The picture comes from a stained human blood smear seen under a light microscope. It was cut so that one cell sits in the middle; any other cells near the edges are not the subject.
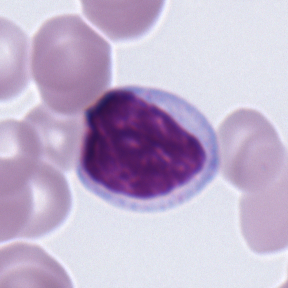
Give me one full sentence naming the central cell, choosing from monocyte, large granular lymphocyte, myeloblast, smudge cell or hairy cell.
Here the cell in the middle is a large granular lymphocyte.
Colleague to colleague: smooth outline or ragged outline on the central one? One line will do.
Thanks for asking; the cell edge is smooth and has no projections.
